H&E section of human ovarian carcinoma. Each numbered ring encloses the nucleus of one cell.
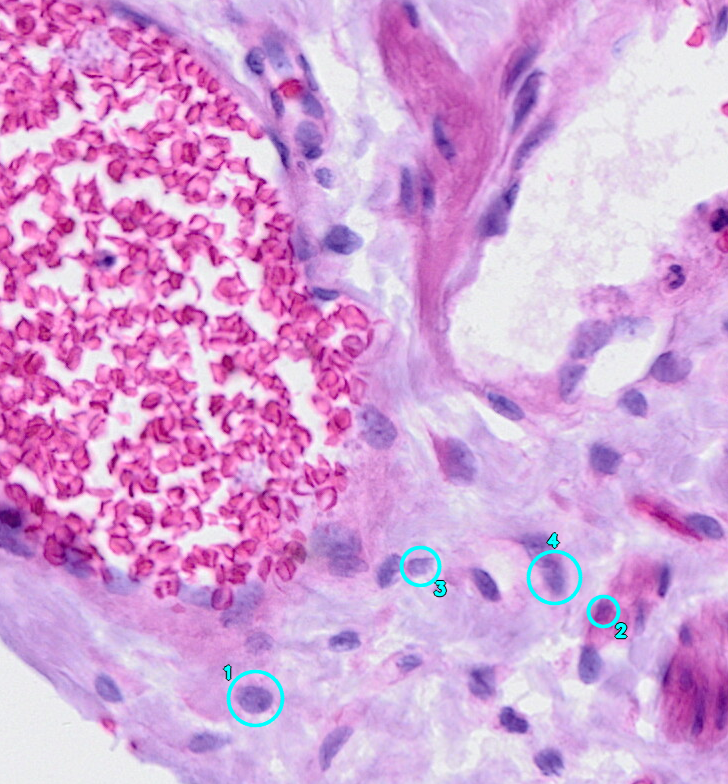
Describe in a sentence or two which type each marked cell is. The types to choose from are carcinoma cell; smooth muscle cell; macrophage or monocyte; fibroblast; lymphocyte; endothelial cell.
Cells 1, 3 and 4 are fibroblasts. Cell 2 is a smooth muscle cell.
